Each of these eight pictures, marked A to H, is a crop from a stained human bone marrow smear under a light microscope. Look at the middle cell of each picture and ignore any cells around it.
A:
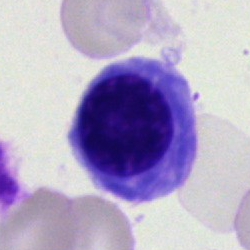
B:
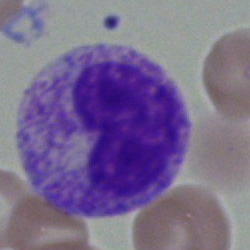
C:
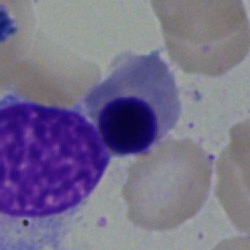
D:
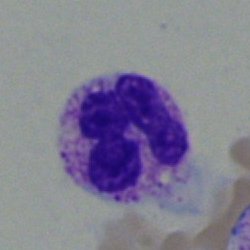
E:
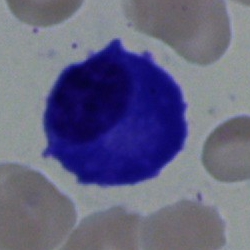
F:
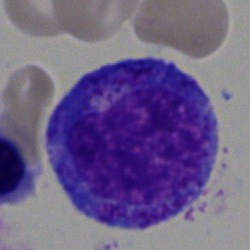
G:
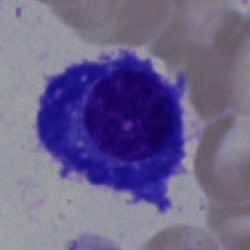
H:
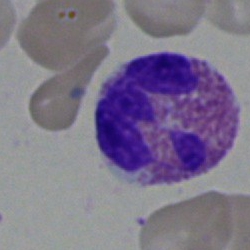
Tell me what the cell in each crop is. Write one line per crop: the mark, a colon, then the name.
A: normoblast
B: metamyelocyte
C: normoblast
D: segmented neutrophil
E: plasma cell
F: promyelocyte
G: plasma cell
H: eosinophil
